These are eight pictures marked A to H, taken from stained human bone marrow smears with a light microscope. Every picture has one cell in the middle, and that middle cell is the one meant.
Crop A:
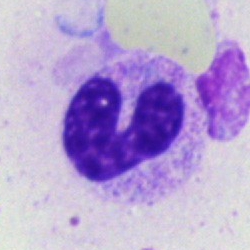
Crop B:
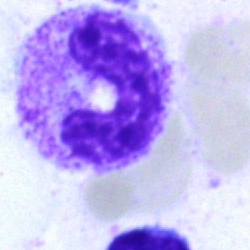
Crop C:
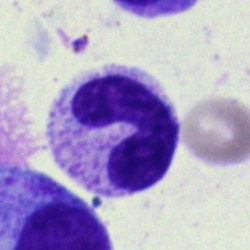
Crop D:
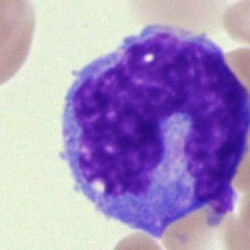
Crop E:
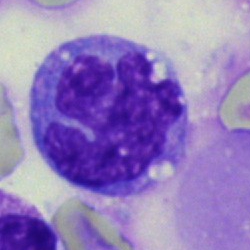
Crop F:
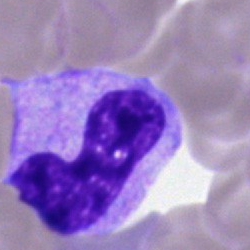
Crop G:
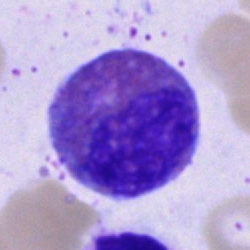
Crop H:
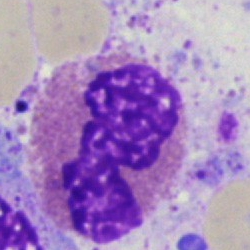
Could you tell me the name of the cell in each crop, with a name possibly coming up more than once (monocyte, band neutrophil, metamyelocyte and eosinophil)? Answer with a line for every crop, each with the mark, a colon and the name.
A: band neutrophil
B: band neutrophil
C: band neutrophil
D: monocyte
E: monocyte
F: band neutrophil
G: eosinophil
H: eosinophil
